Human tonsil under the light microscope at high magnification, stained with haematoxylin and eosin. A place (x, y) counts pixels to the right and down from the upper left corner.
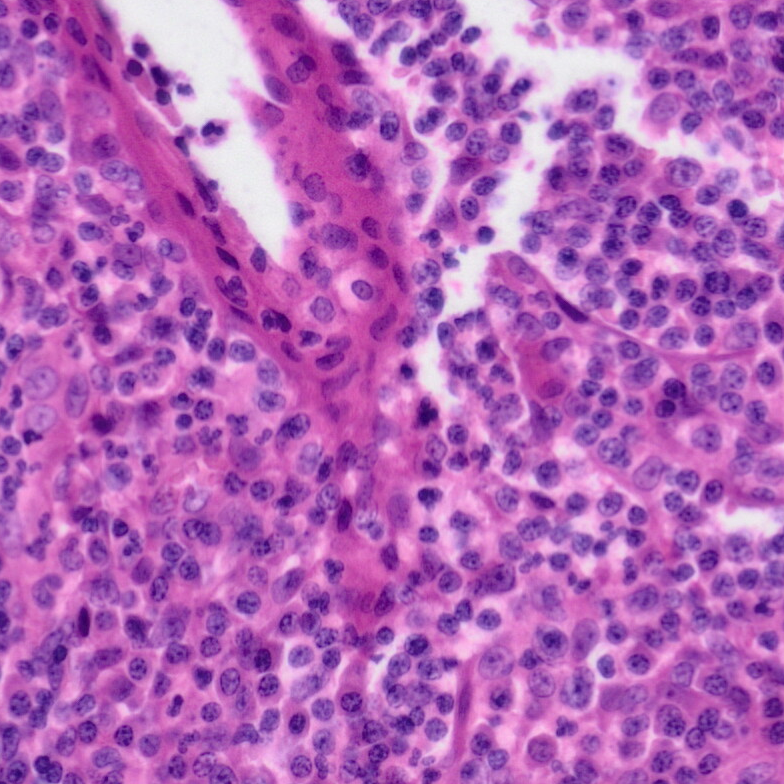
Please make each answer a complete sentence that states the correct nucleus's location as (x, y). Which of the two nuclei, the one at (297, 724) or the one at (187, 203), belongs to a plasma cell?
Housed in a plasma cell is the nucleus at (297, 724), not the other one.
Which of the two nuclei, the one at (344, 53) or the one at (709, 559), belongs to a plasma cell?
Of the two nuclei, the one sitting at (709, 559) belongs to a plasma cell.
